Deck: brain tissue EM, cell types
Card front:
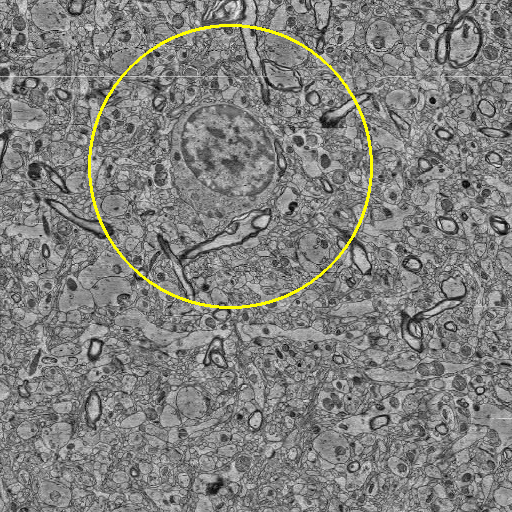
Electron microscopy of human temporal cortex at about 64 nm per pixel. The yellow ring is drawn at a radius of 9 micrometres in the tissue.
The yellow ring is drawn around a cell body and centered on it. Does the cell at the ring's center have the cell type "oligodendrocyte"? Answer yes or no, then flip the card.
yes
